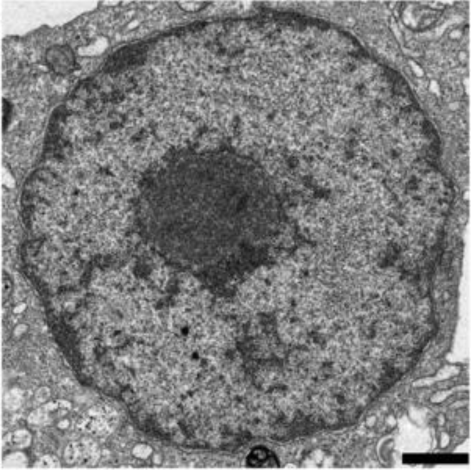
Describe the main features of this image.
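This transmission electron micrograph shows a cell with a large, round nucleus with a smooth outline that fills most of the image. A large, dark, granular nucleolus lies near the centre of the nucleus, away from the nuclear envelope. Finely granular chromatin fills the nucleus, with small darker clumps along the nuclear border. A thin rim of cytoplasm with membranous profiles and vesicles surrounds the nucleus. No lobes or infoldings of the nucleus are seen.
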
